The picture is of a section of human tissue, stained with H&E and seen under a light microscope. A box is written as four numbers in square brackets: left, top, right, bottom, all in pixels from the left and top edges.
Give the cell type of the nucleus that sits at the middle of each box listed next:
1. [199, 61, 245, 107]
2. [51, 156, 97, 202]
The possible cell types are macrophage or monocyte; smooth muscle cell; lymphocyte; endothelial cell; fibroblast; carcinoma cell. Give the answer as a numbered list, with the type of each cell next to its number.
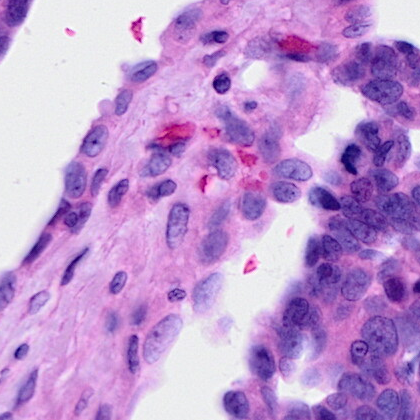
1. lymphocyte
2. carcinoma cell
